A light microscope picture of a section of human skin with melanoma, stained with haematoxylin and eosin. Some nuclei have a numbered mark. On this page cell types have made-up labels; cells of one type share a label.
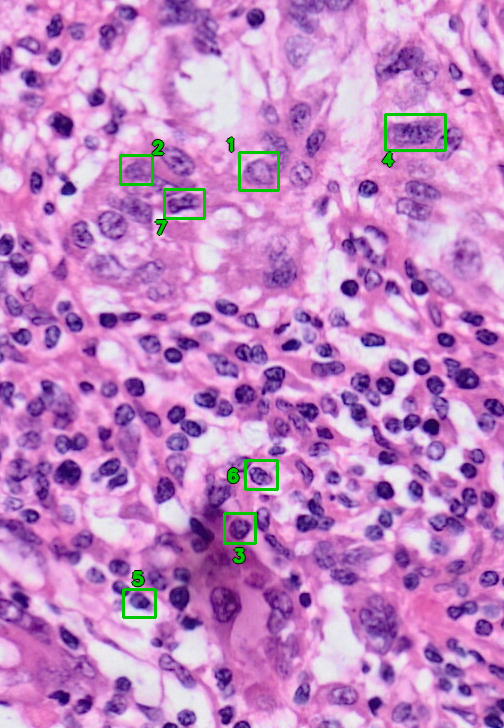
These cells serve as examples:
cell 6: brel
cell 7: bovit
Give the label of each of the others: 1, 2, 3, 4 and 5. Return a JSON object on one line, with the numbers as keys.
{"1": "bovit", "2": "bovit", "3": "brel", "4": "bovit", "5": "brel"}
